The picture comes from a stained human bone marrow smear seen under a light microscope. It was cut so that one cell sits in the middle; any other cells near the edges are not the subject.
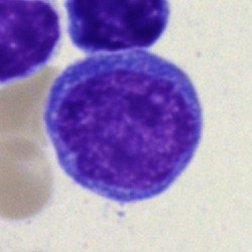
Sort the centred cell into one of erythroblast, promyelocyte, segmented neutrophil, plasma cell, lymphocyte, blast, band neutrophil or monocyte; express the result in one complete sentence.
For this crop, the cell in the middle is a blast.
